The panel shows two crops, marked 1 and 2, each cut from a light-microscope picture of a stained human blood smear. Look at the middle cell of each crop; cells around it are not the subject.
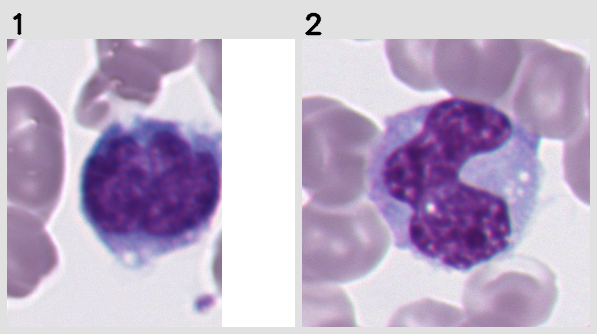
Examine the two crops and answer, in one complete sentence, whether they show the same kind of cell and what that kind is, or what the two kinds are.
Yes, both crops have monocytes at the centre.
